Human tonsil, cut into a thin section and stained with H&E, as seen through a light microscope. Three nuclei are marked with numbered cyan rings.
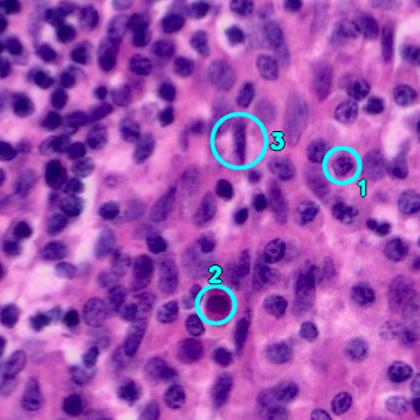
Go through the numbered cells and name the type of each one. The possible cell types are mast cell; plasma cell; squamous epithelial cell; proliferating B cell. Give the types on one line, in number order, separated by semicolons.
plasma cell; plasma cell; squamous epithelial cell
